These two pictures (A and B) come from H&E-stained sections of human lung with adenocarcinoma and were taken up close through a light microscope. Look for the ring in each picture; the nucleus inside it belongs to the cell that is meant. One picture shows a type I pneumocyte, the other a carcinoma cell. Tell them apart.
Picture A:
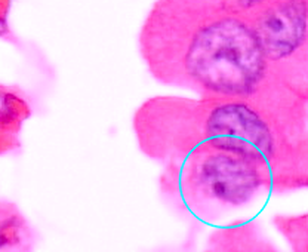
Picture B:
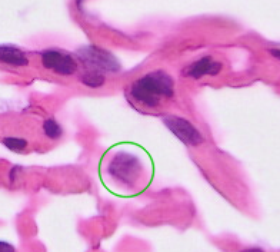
A: carcinoma cell
B: type I pneumocyte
